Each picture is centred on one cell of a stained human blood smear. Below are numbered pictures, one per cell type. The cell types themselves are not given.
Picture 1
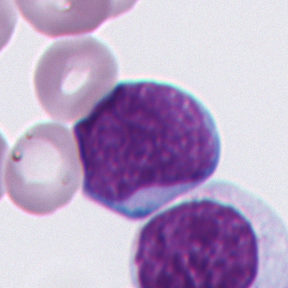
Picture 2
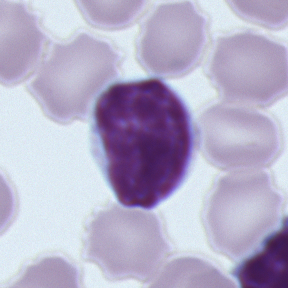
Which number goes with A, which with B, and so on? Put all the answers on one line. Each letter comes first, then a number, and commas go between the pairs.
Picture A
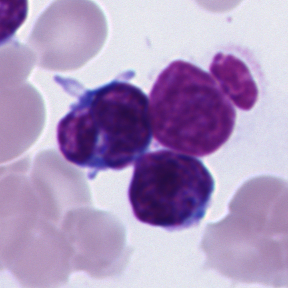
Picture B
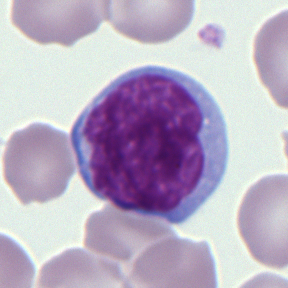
A 1, B 2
